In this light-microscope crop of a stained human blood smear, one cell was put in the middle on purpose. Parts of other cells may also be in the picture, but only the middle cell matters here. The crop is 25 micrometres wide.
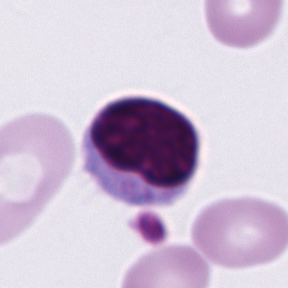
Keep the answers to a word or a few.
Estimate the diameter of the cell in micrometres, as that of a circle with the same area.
10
